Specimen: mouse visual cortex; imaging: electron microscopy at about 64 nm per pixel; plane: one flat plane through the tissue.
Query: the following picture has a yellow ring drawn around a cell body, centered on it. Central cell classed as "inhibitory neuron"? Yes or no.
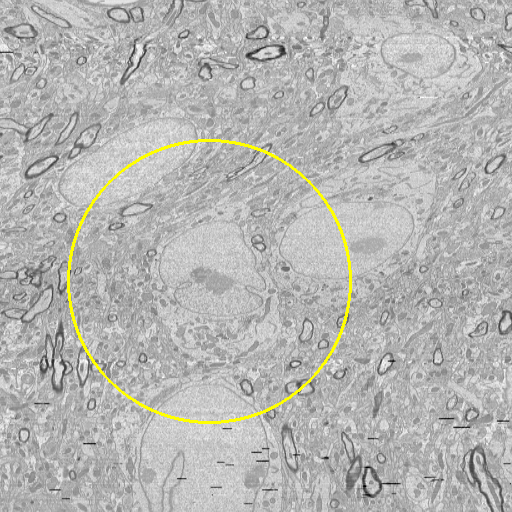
yes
